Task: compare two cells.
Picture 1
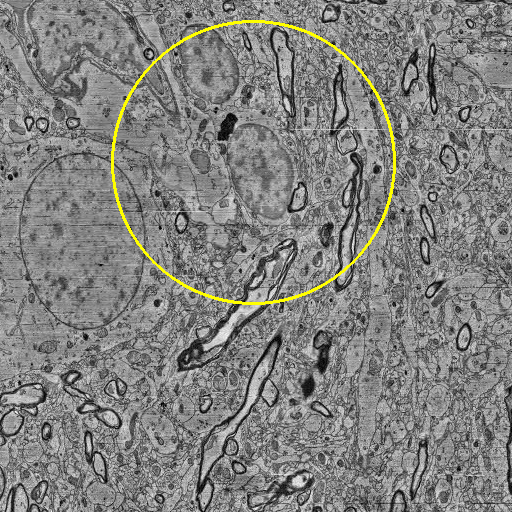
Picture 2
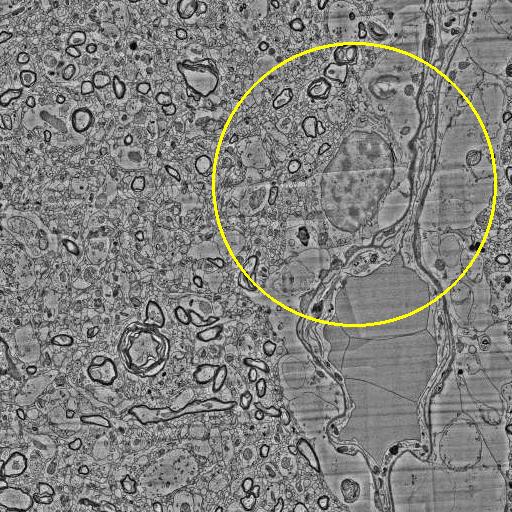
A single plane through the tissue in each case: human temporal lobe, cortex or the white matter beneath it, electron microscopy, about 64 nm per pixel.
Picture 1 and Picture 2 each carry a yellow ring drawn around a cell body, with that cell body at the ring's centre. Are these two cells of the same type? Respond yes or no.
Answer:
yes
